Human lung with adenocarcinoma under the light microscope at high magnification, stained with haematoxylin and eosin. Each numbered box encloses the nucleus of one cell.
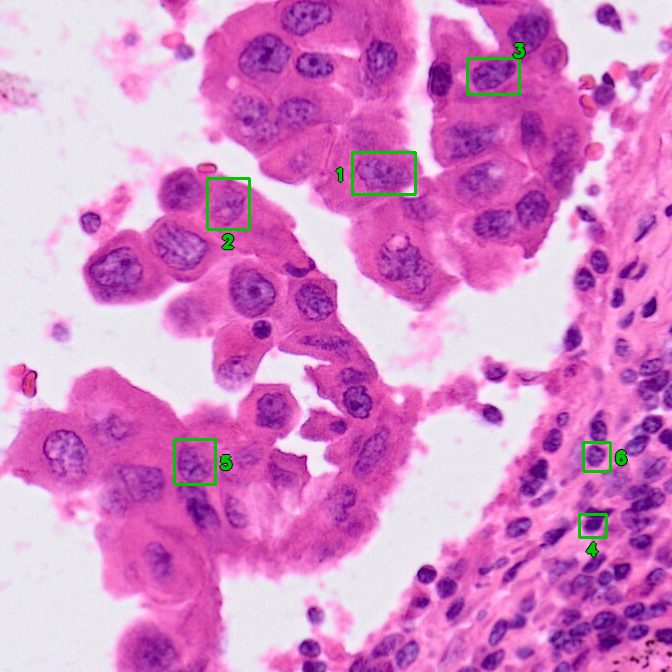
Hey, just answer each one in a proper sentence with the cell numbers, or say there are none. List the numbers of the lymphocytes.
Within the section, cells numbered 4 and 6 are lymphocytes.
